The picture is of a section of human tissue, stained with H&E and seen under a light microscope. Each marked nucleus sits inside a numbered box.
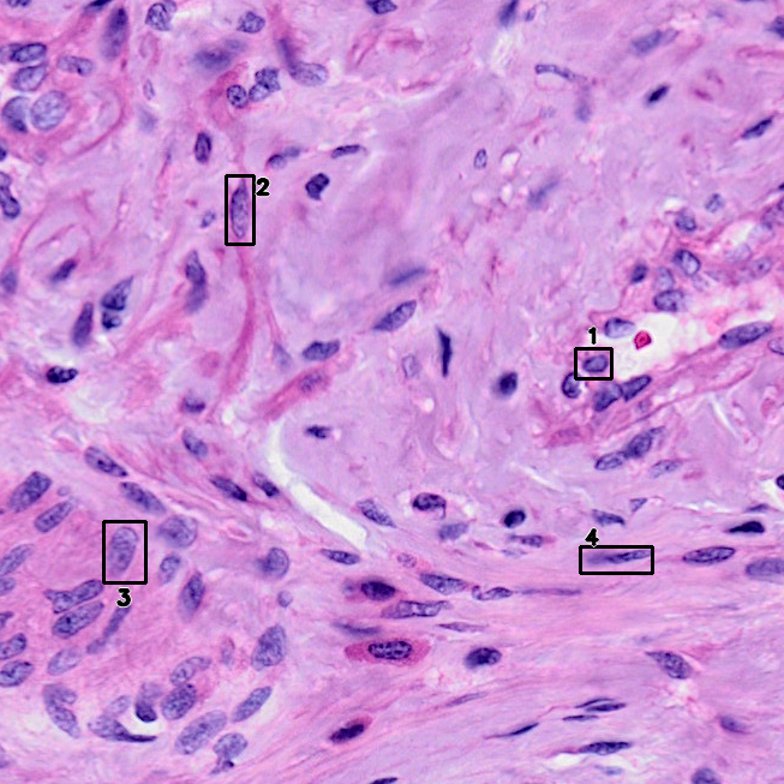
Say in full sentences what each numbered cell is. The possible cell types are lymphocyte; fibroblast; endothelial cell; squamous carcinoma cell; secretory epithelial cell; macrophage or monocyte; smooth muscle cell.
Cell 1 is an endothelial cell, cell 2 is a smooth muscle cell, cell 3 is a smooth muscle cell and cell 4 is a fibroblast.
